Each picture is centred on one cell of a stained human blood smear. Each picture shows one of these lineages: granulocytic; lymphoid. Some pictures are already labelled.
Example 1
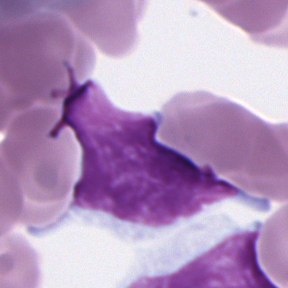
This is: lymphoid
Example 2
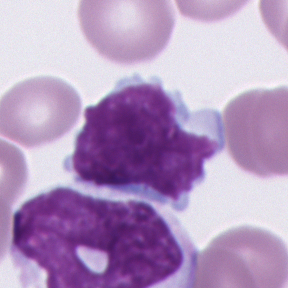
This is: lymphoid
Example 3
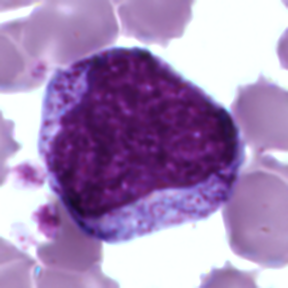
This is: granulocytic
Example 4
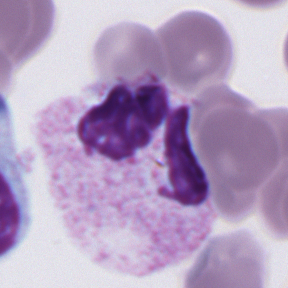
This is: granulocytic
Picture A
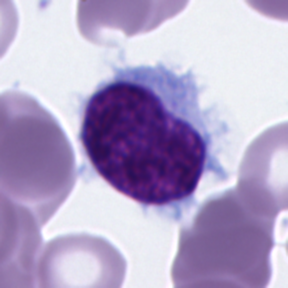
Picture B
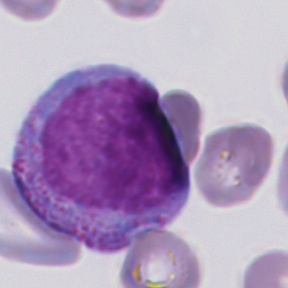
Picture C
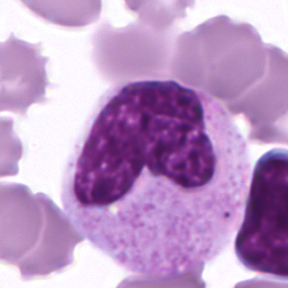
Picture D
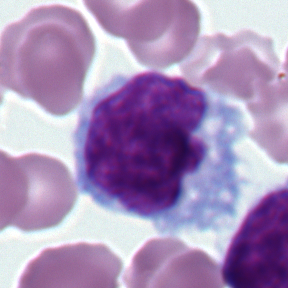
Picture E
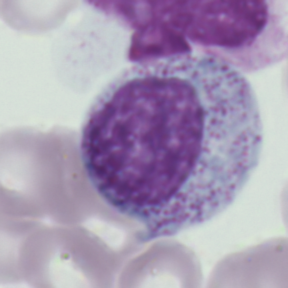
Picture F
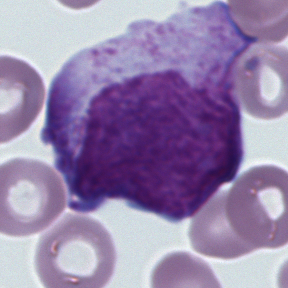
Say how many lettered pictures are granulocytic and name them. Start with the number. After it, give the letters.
4, namely B, C, E, F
